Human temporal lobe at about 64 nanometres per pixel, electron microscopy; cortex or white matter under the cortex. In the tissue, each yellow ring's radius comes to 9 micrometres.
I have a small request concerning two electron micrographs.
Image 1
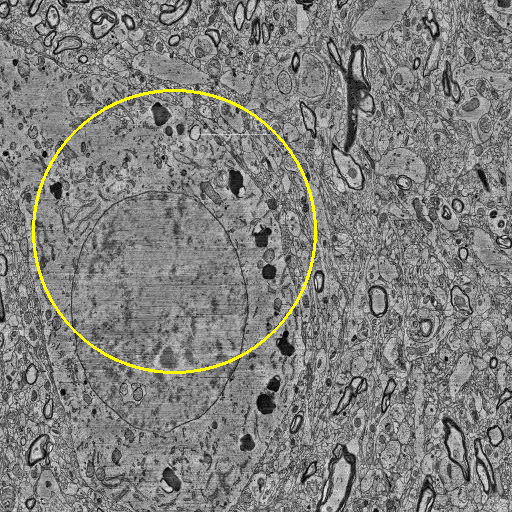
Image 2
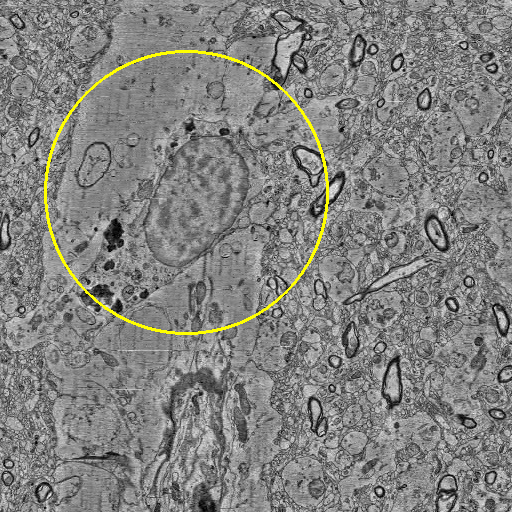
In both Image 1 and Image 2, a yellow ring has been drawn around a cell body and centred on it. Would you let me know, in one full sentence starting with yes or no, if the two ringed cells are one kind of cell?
No, the cells ringed in Image 1 and Image 2 are two kinds of cell.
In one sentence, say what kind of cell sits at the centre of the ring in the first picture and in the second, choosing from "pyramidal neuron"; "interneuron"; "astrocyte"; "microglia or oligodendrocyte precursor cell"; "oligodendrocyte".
The first picture's ringed cell is a pyramidal neuron, while the second picture's is an oligodendrocyte.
